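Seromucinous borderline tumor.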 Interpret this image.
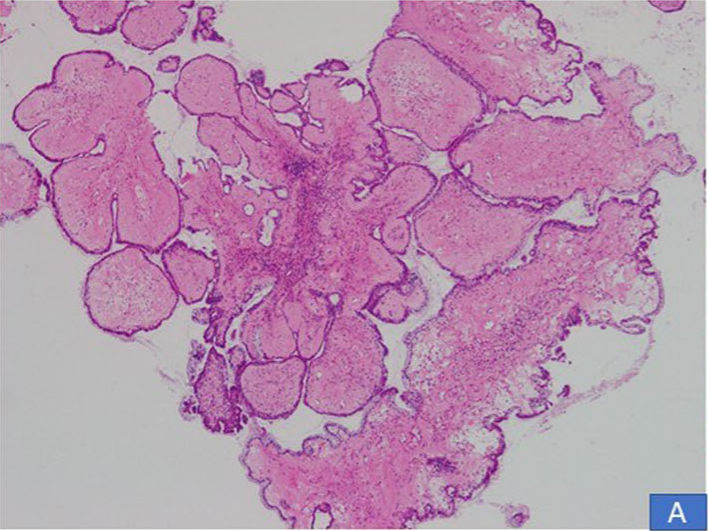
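At low power, the tissue forms many broad, rounded, bulbous papillae that branch from a central denser stalk. Each papilla has a wide core of pale pink, loose to fibrous stroma with scattered cells. A thin, darker epithelial layer lines the outside of every papilla. Small detached fragments float among the branches. The central stalk looks more cellular and darker than the pale cores at the edges.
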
